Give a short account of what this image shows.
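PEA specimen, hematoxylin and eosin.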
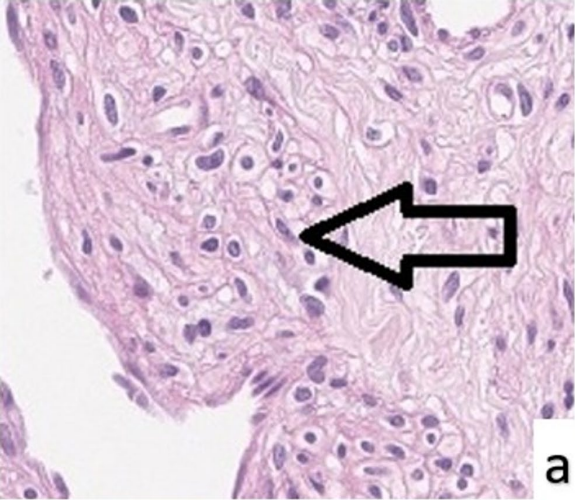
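This is an organized, hyalinized thrombus, made up largely of pale pink, wavy fibrillar matrix with scattered cells. The nuclei are oval to elongated and blue-purple, some plump and some spindle-shaped, spread unevenly through the matrix. Small clear slit-like and rounded spaces open within the tissue and are edged by cells with oval nuclei, resembling small vessel channels. Some cells have clear, vacuolated cytoplasm around their nuclei. The overall appearance is of a remodelled clot replaced by hyalinized connective tissue rather than fresh blood.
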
